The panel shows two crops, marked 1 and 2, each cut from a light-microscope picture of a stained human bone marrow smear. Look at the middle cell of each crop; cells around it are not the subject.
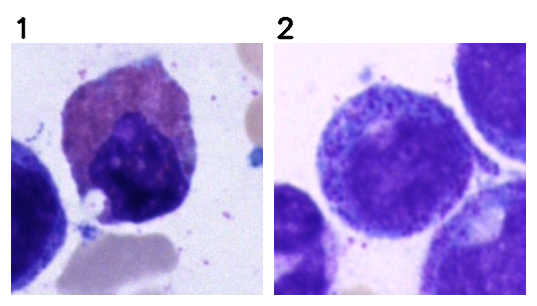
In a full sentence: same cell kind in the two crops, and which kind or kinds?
No, an eosinophil lies at the centre of crop 1, and a promyelocyte lies at the centre of crop 2.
